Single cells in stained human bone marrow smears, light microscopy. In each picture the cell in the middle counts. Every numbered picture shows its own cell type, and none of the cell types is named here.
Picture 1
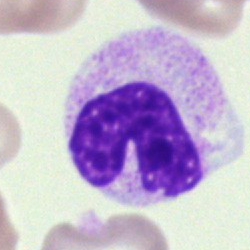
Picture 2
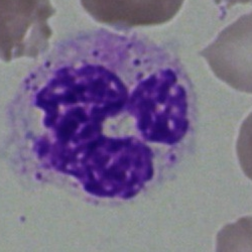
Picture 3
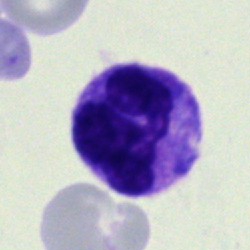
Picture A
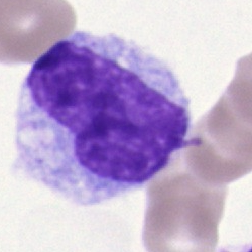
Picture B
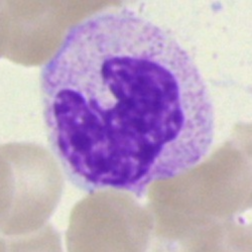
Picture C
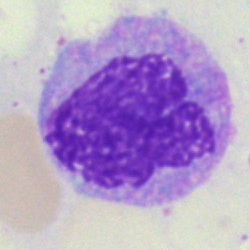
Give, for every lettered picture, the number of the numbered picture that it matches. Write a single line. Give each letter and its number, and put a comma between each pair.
A 3, B 1, C 3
